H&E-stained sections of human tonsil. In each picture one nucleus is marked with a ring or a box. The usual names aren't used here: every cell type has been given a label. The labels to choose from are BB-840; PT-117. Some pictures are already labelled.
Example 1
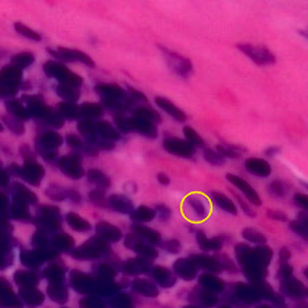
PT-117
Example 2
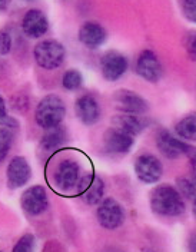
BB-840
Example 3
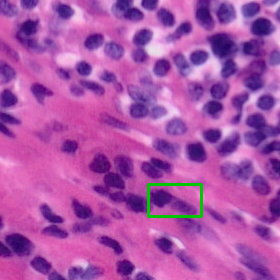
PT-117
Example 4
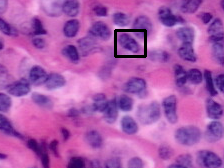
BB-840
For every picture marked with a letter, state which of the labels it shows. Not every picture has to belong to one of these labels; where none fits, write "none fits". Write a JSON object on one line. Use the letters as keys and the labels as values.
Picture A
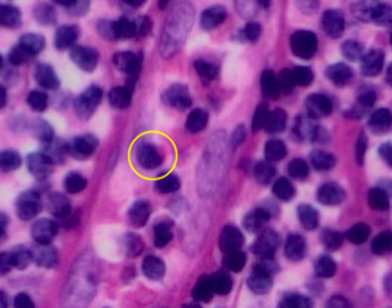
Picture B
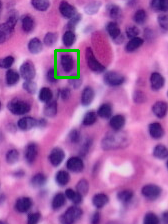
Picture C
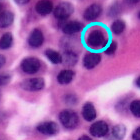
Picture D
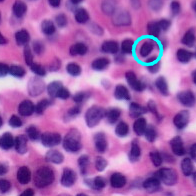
{"A": "PT-117", "B": "BB-840", "C": "BB-840", "D": "none fits"}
